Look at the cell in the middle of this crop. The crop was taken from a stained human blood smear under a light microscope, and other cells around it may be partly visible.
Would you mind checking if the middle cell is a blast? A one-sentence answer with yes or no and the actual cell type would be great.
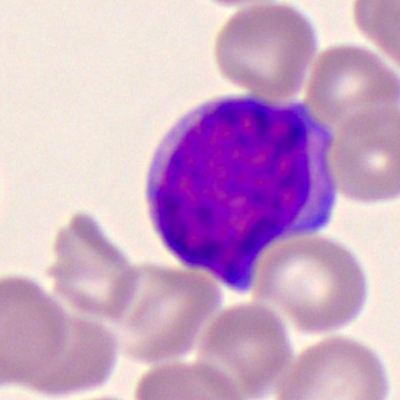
Yes, a blast is present in the middle of the crop.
